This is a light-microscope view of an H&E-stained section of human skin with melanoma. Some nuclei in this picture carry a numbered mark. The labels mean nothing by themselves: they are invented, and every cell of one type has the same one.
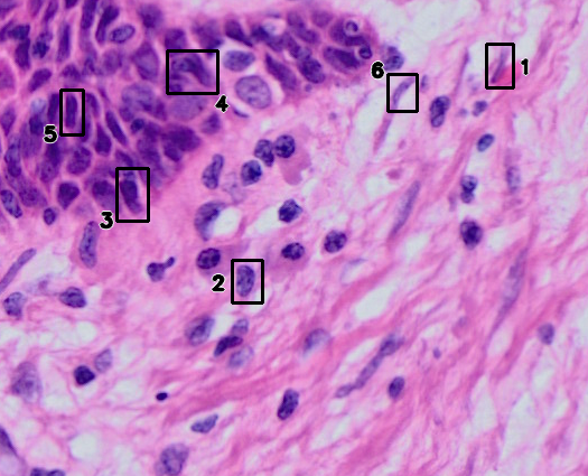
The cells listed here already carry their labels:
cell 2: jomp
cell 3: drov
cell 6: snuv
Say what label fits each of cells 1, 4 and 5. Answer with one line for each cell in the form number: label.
1: snuv
4: drov
5: drov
